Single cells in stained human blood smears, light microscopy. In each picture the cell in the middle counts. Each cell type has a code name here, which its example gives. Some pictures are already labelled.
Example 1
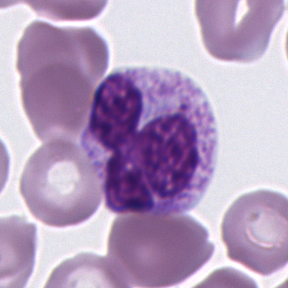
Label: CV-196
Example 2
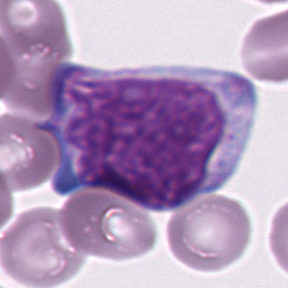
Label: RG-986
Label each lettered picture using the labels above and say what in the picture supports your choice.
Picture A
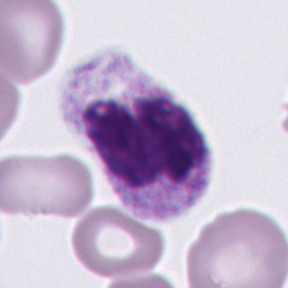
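CV-196. The cytoplasm is plentiful and pale lilac.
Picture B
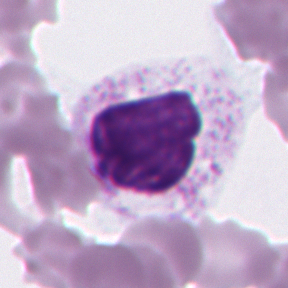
CV-196. The cytoplasm forms a broad rim around the nucleus and is widest on the right.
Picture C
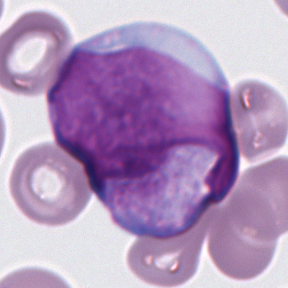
RG-986. A large purple nucleus fills most of the cell.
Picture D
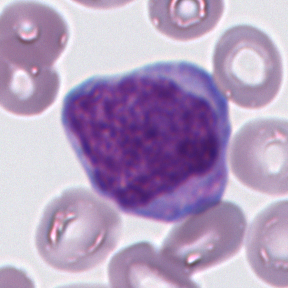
RG-986. The cytoplasm forms a narrow rim that is wider on the right side than on the left.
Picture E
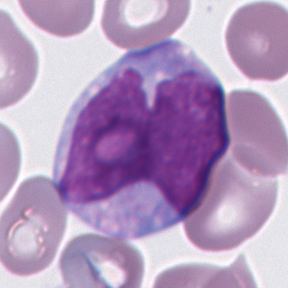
RG-986. The nucleus fills most of the cell.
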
